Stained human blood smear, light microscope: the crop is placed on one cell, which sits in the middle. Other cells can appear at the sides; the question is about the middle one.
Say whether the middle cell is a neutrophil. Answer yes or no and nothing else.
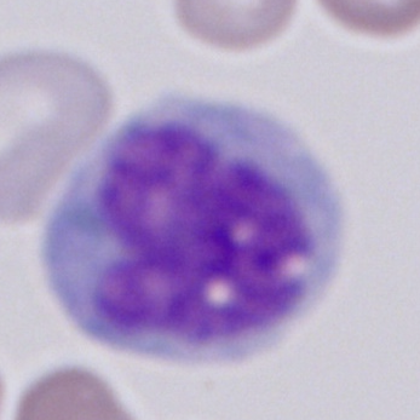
no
